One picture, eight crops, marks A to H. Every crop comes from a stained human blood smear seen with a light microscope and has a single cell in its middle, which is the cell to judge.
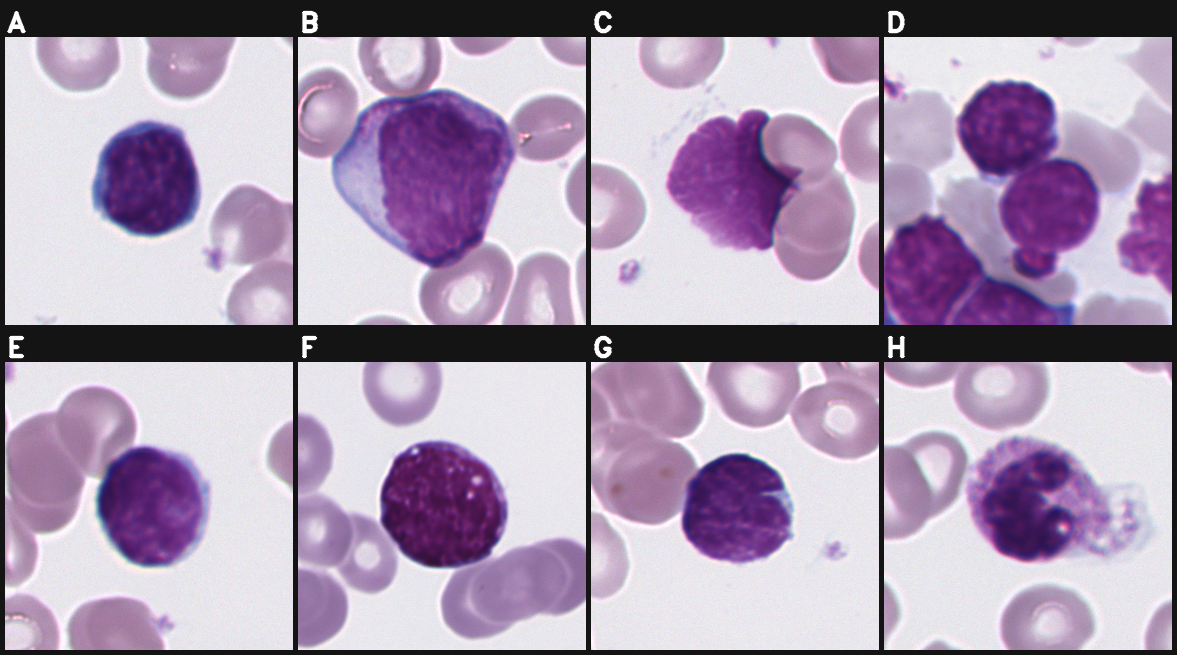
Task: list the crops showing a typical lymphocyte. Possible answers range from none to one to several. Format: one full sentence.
The cells of interest in crops A, E and G are typical lymphocytes.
